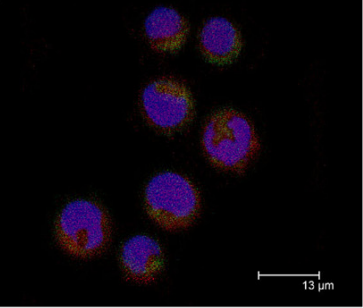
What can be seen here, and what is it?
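Rounded single cells, each with a large blue nucleus that fills most of the cell. Several nuclei are indented or kidney-shaped, with clefts, and a thin rim of red and yellowish-green cytoplasm surrounds them, thickest where the nucleus is notched.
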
